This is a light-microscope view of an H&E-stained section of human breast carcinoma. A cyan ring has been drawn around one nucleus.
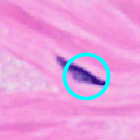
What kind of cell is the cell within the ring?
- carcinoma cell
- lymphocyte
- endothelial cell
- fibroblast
fibroblast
